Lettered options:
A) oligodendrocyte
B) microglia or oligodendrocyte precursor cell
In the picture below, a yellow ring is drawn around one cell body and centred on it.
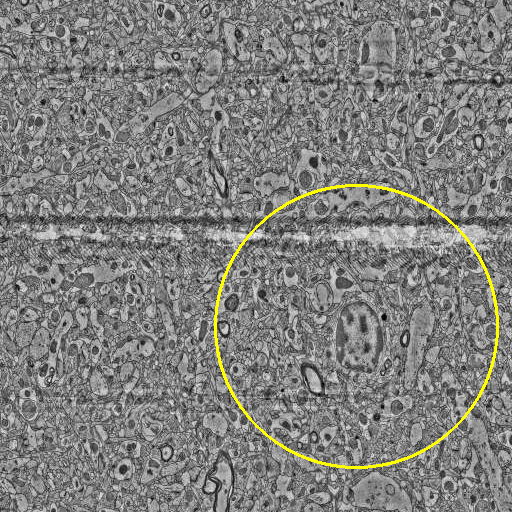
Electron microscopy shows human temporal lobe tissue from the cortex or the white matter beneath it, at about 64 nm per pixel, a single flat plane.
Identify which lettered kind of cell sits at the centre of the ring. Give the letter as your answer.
B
